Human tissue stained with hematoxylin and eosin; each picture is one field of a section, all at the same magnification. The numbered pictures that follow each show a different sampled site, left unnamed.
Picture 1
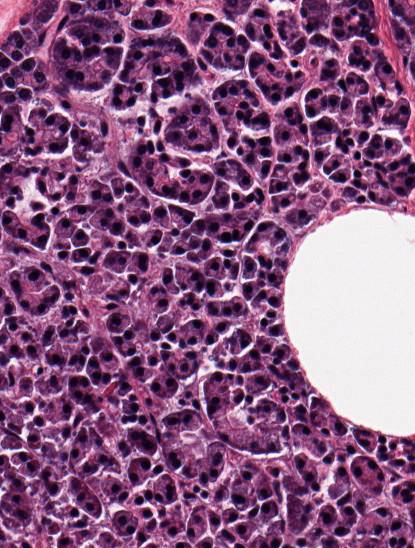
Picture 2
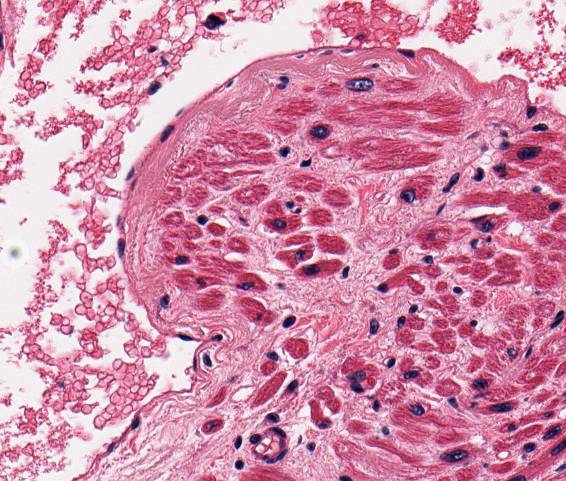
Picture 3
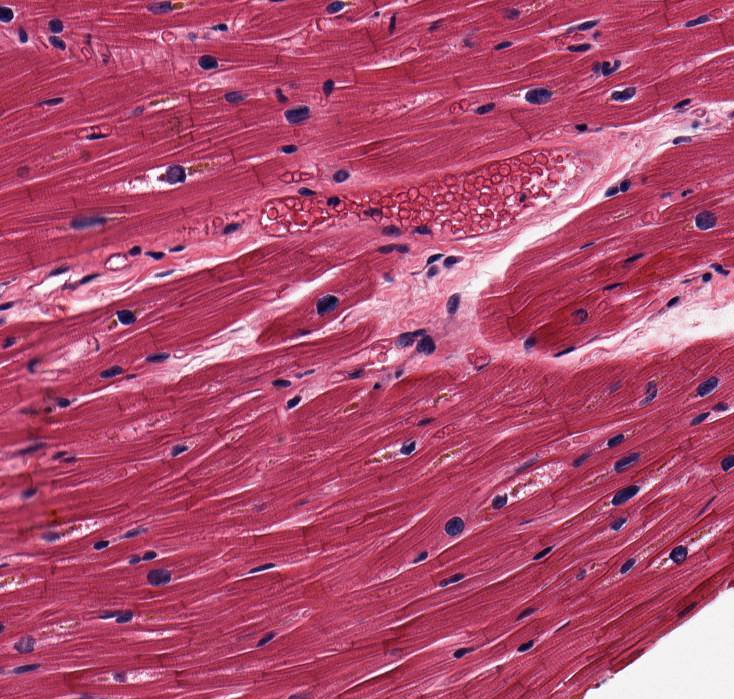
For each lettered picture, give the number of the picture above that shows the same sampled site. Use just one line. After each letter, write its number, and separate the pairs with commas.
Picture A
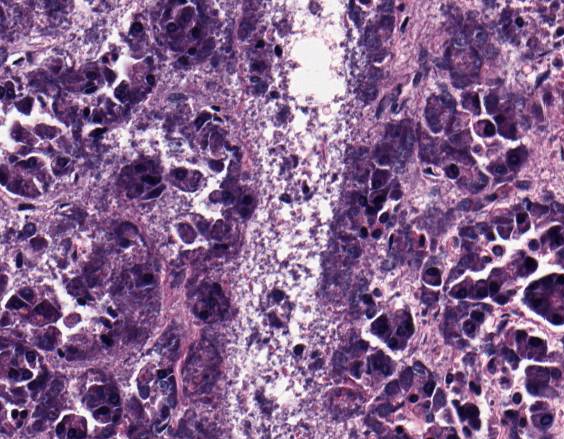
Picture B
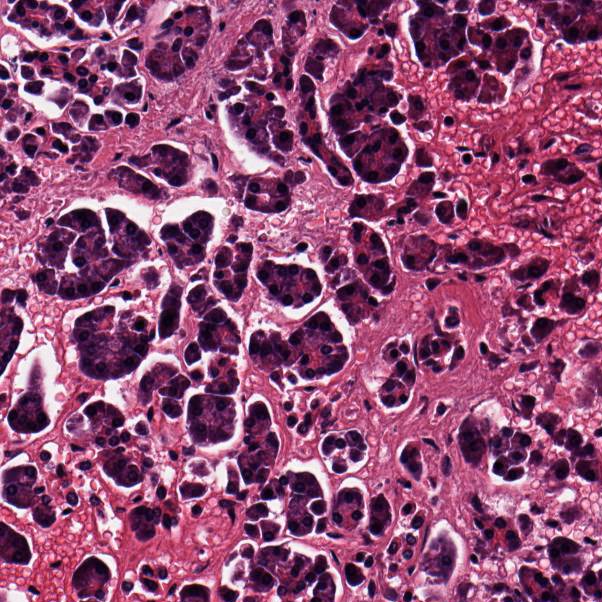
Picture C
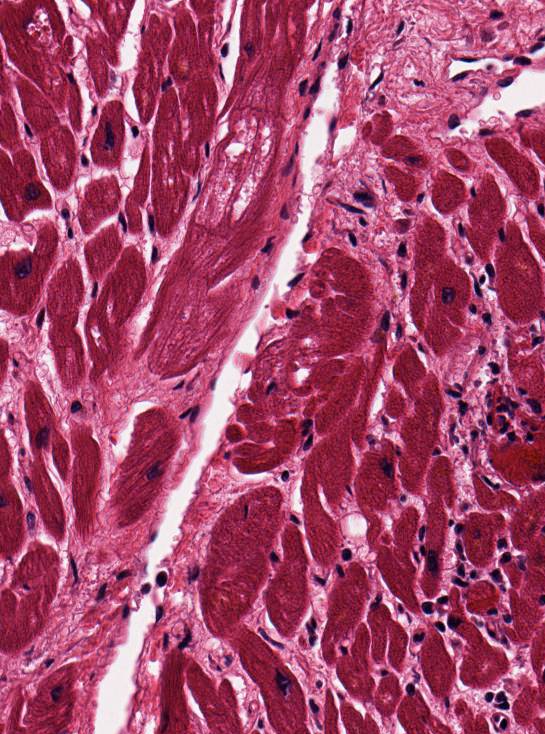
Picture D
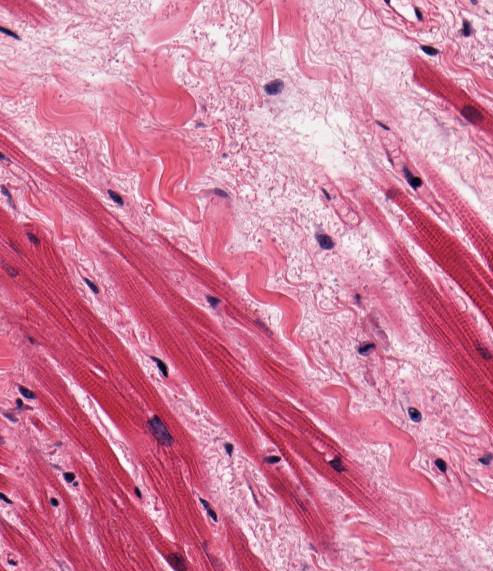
A 1, B 1, C 3, D 2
